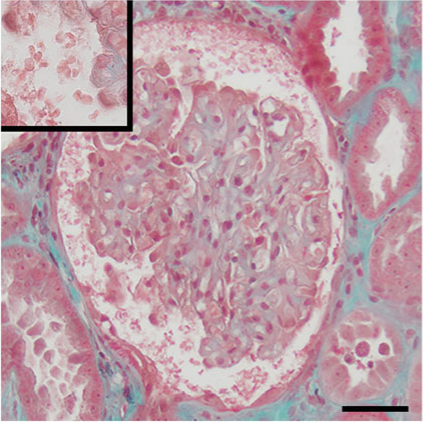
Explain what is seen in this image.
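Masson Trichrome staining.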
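A renal glomerulus with its capillary tuft is seen in the centre, surrounded by Bowman's space and capsule. The tuft is lobulated and cellular, with many small dark nuclei among pink-red capillary loops. The space between the tuft and the capsule contains small red blood cells, seen more closely in an enlarged corner view as anucleate red discs. Around the glomerulus lie tubules whose epithelial cells have red-staining cytoplasm and round nuclei. Thin blue-green strands of interstitial connective tissue separate the tubules.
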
